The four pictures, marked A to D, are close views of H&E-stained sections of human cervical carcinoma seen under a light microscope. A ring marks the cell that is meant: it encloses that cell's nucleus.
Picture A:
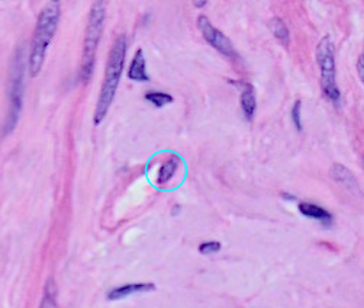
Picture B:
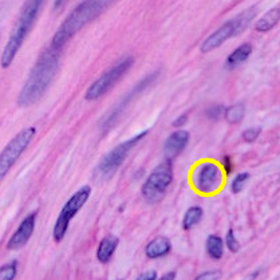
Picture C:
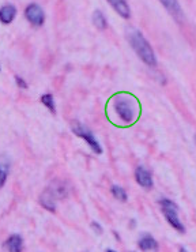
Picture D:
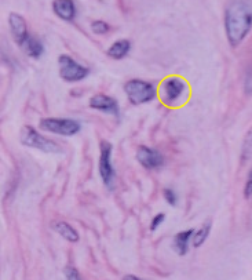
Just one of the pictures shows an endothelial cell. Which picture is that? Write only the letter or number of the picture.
A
